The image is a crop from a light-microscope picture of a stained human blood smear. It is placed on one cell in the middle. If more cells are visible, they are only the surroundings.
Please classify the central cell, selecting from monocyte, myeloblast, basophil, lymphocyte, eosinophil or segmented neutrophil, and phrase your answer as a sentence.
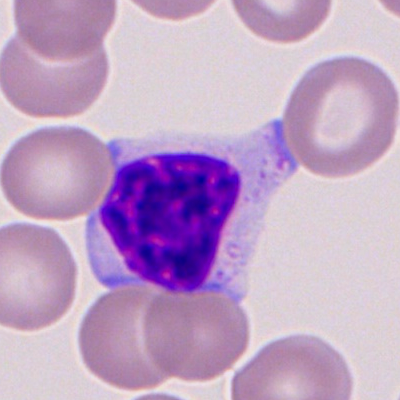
Answering briefly, the cell in the middle is a lymphocyte.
